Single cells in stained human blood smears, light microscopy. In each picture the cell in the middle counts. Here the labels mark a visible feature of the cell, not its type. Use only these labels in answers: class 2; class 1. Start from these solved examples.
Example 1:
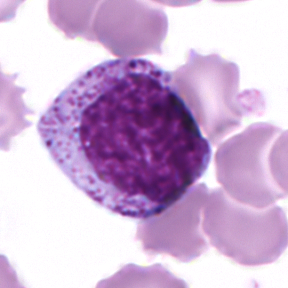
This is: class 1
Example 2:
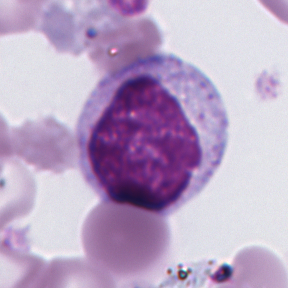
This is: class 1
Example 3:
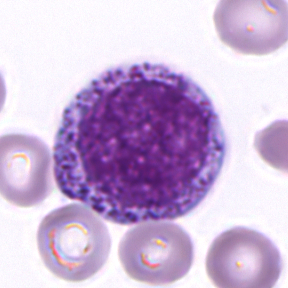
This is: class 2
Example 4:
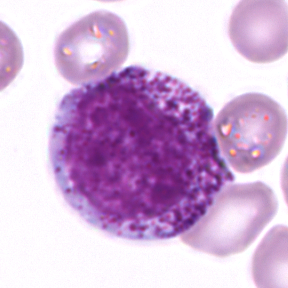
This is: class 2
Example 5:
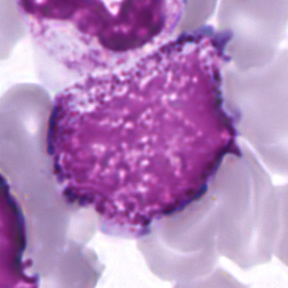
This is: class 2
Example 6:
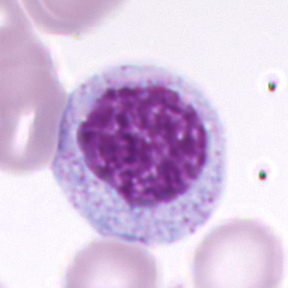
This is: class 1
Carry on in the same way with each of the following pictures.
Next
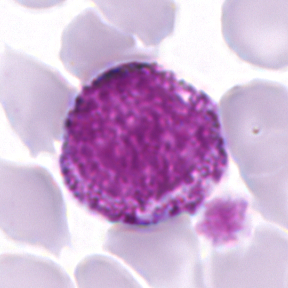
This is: class 2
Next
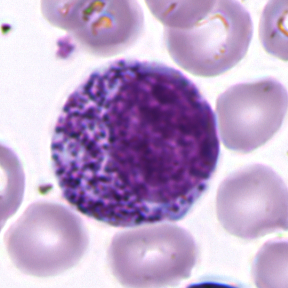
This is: class 2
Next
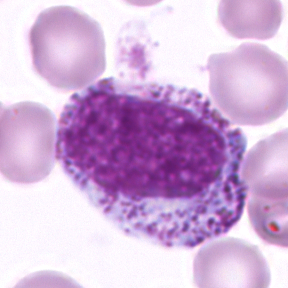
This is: class 2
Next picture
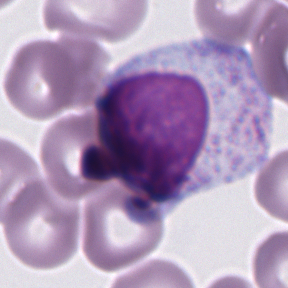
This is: class 1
